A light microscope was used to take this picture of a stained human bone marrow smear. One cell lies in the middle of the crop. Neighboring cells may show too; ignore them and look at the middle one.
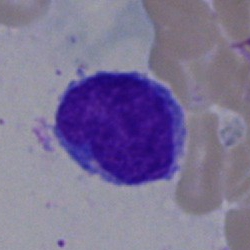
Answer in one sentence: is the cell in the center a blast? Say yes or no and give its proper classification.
Yes, the cell that occupies the centre is a blast.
